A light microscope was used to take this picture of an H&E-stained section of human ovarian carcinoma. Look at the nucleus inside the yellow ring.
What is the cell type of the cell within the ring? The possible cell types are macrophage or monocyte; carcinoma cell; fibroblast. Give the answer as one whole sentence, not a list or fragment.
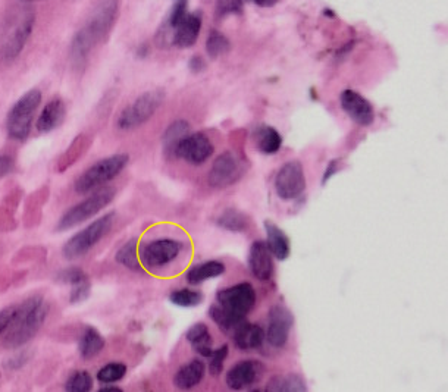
The category to which the cell within the ring belongs is that of a macrophage or monocyte.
